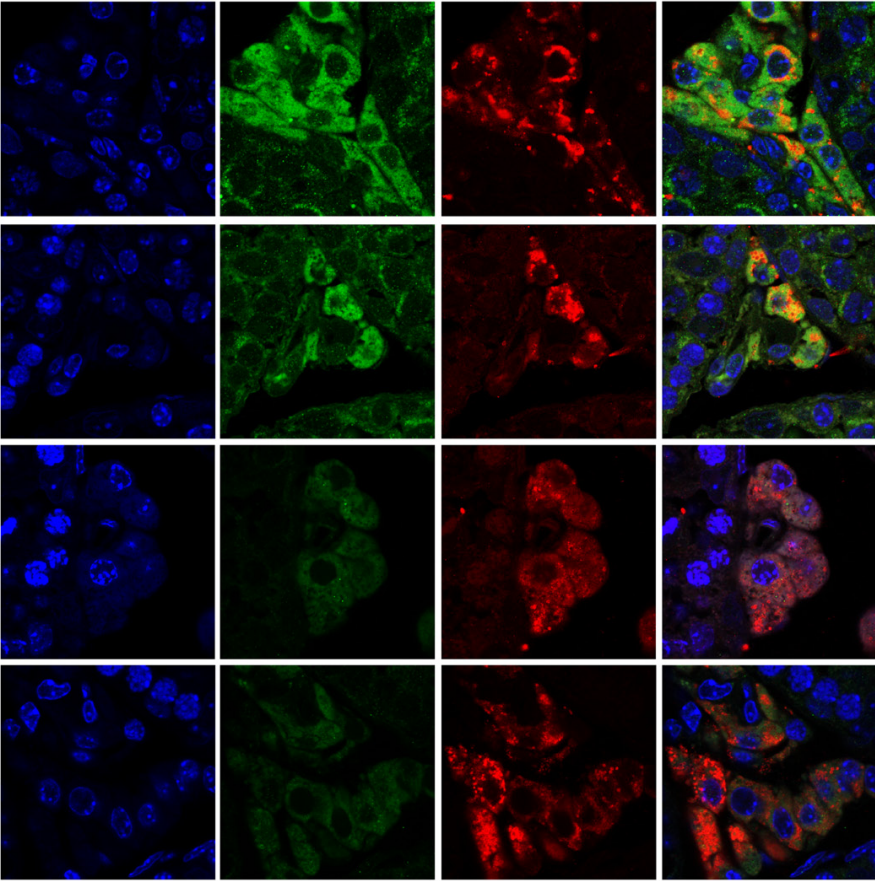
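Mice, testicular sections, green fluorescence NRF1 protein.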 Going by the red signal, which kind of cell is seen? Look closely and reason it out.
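Red granular signal fills the cytoplasm of clustered large cells. They lie in groups between other cells rather than in a lining layer.
Conclusion: Leydig cells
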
